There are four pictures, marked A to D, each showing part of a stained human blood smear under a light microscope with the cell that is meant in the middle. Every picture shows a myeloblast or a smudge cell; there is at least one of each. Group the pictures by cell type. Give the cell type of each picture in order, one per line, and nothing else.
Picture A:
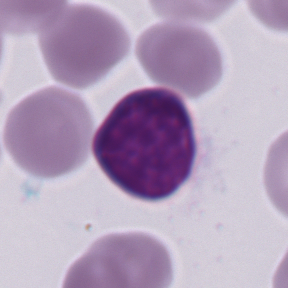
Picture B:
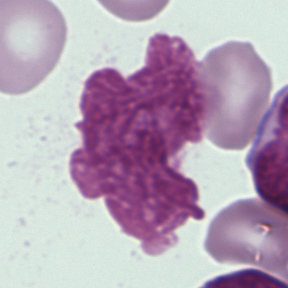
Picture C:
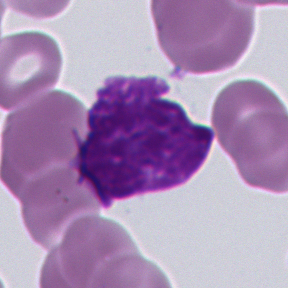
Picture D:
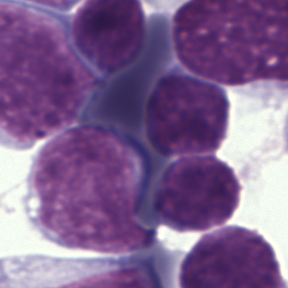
smudge cell
smudge cell
smudge cell
myeloblast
